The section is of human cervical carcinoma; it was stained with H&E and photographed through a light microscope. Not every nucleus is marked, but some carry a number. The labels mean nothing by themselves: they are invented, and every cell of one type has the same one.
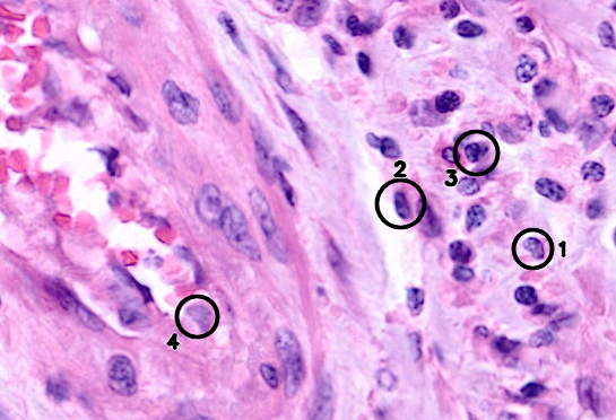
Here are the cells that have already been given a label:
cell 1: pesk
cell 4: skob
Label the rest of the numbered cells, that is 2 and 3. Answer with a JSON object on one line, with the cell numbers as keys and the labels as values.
{"2": "pesk", "3": "pesk"}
